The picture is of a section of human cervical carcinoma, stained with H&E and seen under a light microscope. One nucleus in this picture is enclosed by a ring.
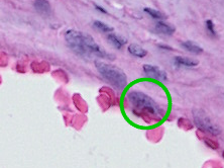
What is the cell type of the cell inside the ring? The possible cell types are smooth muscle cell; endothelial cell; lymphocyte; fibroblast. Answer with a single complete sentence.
Histopathologically, the cell inside the ring is an endothelial cell.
